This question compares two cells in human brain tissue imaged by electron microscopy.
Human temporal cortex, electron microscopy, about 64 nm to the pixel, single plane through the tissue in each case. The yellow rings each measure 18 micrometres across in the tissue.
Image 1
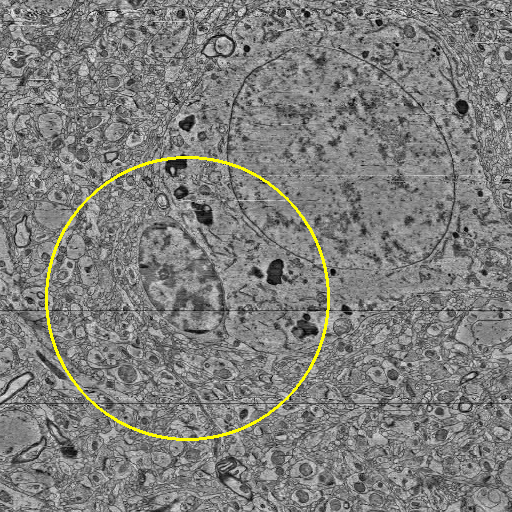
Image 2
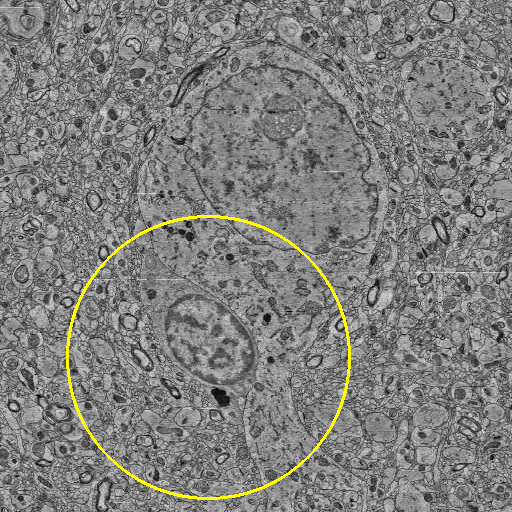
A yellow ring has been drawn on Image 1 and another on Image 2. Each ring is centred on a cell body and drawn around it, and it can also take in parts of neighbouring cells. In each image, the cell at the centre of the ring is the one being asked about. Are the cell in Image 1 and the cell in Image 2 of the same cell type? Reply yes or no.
yes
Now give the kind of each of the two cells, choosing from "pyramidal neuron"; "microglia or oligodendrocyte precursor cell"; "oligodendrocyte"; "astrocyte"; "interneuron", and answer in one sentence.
Each of the ringed cells, first and second, is an oligodendrocyte.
